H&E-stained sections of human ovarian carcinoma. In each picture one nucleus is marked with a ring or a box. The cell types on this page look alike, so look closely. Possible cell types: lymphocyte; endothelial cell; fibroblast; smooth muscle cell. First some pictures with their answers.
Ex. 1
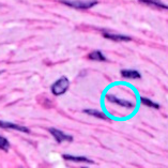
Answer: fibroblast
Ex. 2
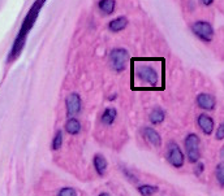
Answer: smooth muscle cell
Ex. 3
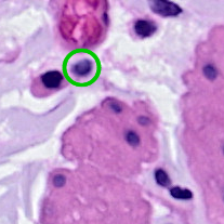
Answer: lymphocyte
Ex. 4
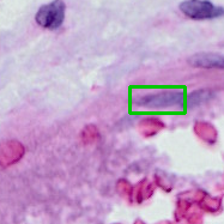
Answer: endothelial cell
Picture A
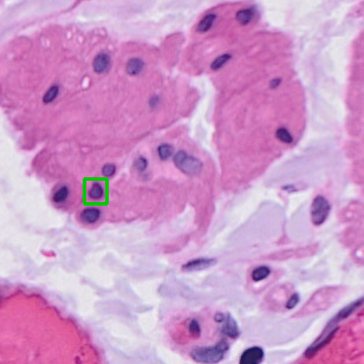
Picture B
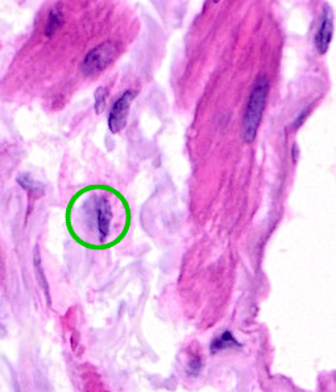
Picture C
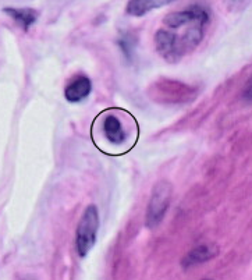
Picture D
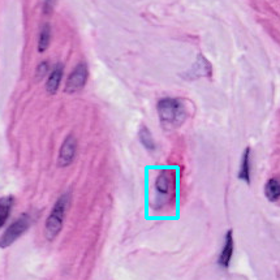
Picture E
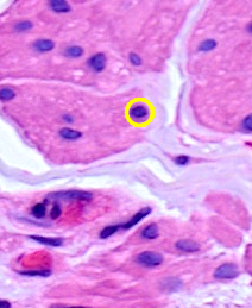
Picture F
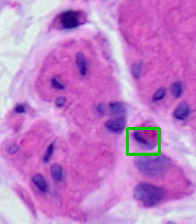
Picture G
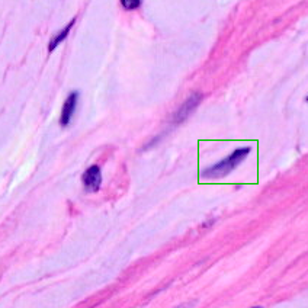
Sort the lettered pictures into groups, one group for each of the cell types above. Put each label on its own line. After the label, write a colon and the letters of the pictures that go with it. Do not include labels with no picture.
lymphocyte: C
endothelial cell: D, F
fibroblast: B, G
smooth muscle cell: A, E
